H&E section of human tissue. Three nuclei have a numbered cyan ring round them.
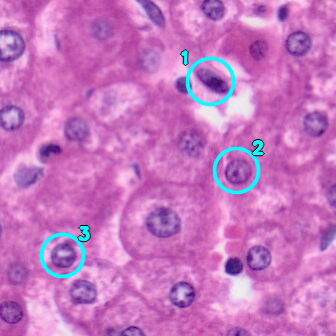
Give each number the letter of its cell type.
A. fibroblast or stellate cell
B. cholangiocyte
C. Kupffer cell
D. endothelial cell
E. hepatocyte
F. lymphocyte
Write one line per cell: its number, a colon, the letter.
1: C
2: E
3: E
